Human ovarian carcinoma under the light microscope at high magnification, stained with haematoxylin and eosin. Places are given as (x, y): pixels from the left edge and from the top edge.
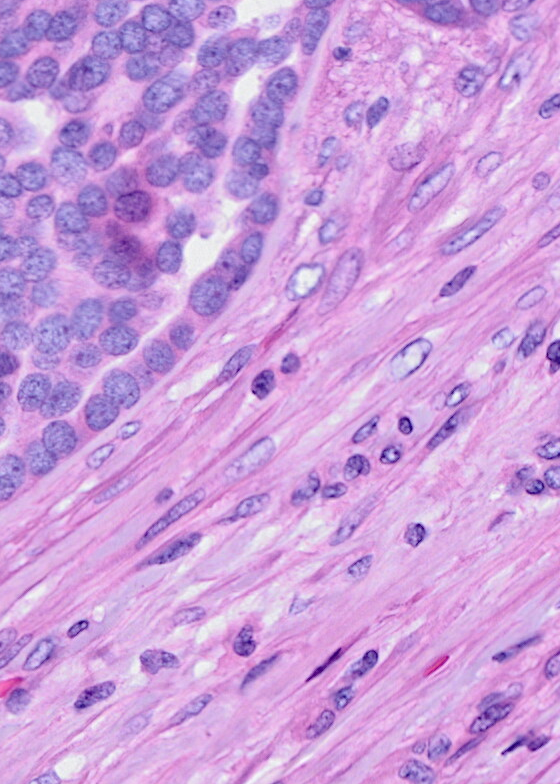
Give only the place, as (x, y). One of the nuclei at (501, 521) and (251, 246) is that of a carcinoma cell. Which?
(251, 246)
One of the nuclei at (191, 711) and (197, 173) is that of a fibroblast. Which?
(191, 711)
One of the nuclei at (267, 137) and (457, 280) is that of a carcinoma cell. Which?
(267, 137)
